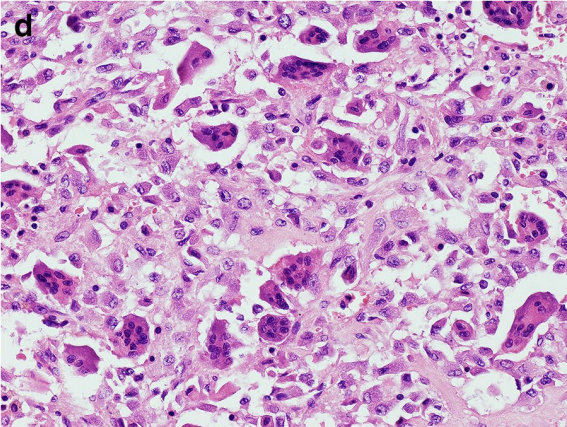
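Cellular lesion of mononuclear cells admixed with numerous multinucleate giant cells. The giant cells are large, with abundant pink cytoplasm and many clustered nuclei. The mononuclear cells between them have single oval nuclei and pale cytoplasm, set in a loose pale stroma.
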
